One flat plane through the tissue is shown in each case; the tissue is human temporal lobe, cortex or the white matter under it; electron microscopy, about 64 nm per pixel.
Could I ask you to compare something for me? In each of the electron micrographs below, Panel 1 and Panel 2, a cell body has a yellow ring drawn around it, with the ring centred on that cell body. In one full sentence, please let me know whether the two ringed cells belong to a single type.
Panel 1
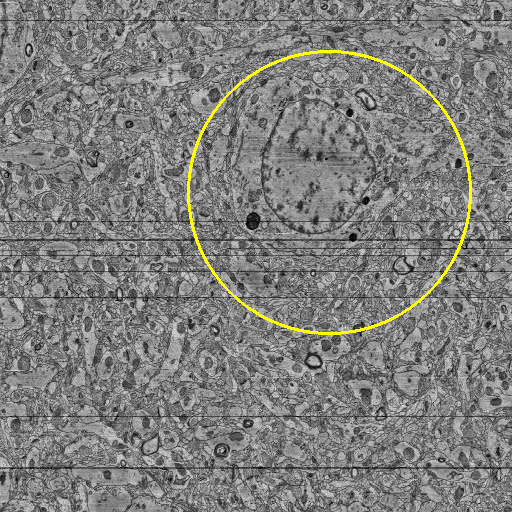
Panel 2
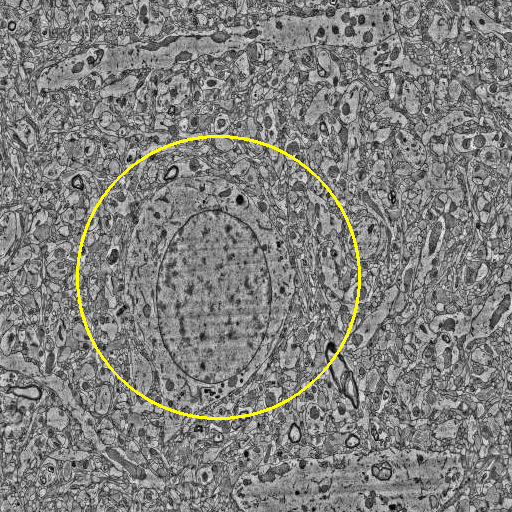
Yes, the two cells at the centres of the rings are of one type.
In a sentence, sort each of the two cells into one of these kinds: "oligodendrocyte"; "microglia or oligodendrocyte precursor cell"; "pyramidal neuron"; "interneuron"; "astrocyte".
Each of the ringed cells, first and second, is a pyramidal neuron.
